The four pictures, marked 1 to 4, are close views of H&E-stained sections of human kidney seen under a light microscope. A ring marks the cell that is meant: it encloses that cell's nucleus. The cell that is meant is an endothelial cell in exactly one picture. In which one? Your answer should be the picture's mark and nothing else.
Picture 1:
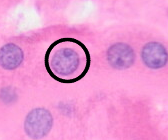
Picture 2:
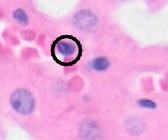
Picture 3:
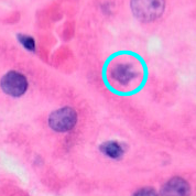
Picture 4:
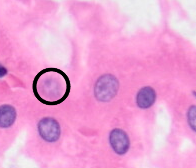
2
